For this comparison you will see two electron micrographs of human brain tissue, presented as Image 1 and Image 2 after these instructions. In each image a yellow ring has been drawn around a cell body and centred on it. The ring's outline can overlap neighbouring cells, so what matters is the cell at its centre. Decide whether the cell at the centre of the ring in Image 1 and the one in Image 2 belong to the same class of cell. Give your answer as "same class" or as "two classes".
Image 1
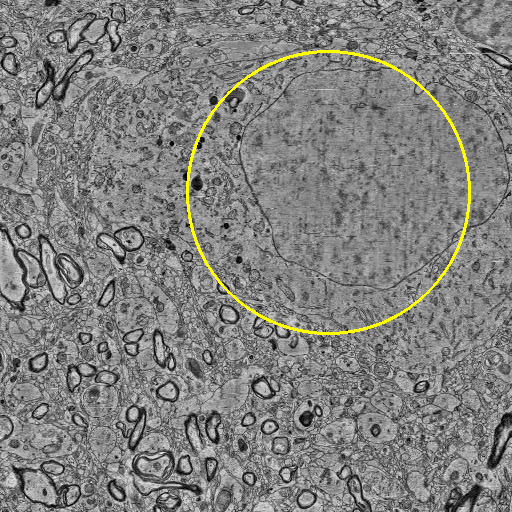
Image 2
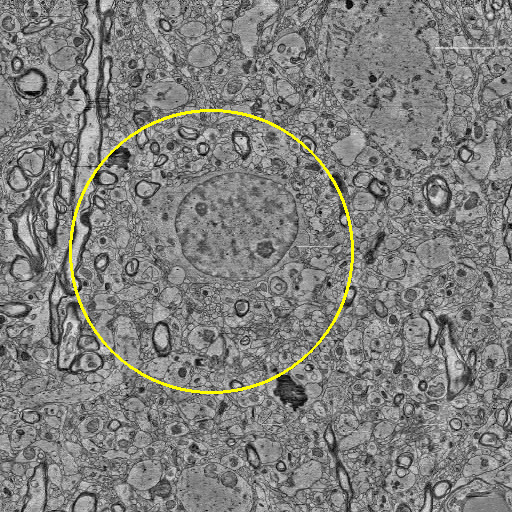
two classes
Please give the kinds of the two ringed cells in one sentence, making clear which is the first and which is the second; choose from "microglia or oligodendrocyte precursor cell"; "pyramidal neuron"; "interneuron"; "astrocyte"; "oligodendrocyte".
In the second picture the ringed cell is an oligodendrocyte; in the first it is a pyramidal neuron.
